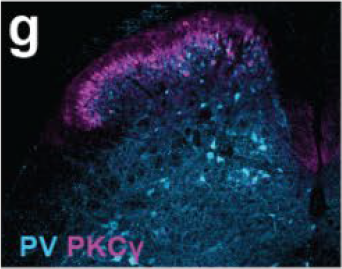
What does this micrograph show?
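This transverse section shows the spinal dorsal horn with a bright magenta arched band beneath its dorsal surface, a thin superficial lamina of closely packed small cells. Below it, the deeper grey matter holds numerous bright cyan cell bodies, some with short processes, set in a dense cyan network of fibres. Cyan cells are also seen at the lower border of the magenta band. The outermost rim above the band is dark and nearly unstained, and a dark vertical cleft marks the medial edge of the horn.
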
